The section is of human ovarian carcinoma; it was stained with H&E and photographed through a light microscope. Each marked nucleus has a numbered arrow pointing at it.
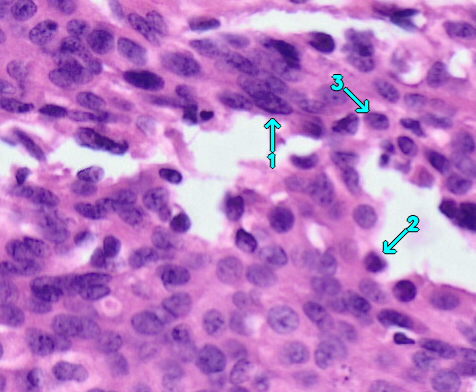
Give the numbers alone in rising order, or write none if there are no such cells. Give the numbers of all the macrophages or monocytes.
3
